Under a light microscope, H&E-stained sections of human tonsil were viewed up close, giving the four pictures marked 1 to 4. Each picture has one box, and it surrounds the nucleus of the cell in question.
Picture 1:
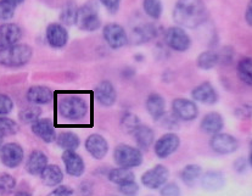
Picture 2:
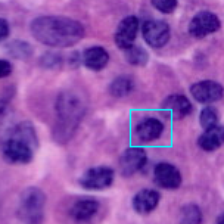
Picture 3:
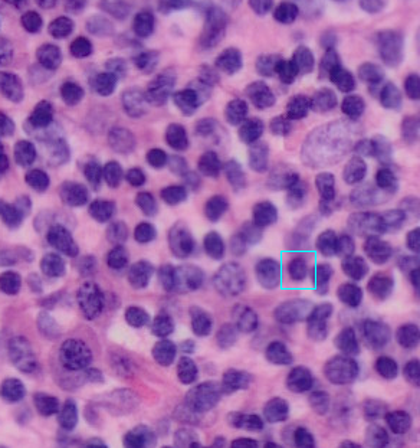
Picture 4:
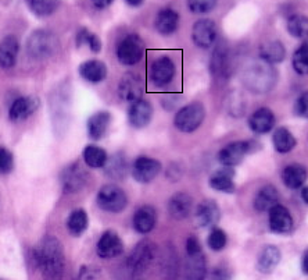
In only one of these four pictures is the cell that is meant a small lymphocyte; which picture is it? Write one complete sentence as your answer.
The cell in picture 3 is the small lymphocyte.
